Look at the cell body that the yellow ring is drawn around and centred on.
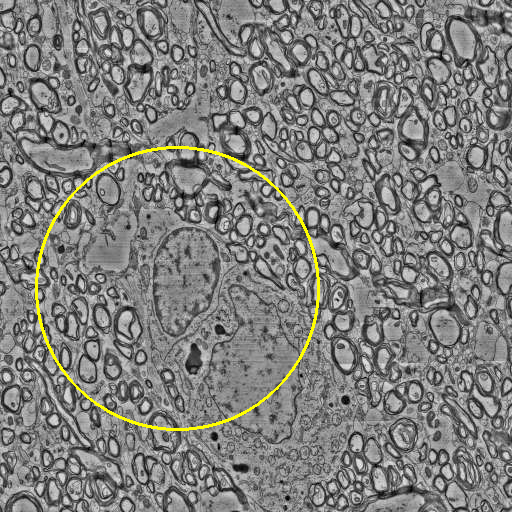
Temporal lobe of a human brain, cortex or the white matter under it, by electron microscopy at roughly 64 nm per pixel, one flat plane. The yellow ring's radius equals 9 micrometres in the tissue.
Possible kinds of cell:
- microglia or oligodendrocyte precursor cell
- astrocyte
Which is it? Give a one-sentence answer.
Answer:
The centred cell body is that of a microglial cell or oligodendrocyte precursor cell.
